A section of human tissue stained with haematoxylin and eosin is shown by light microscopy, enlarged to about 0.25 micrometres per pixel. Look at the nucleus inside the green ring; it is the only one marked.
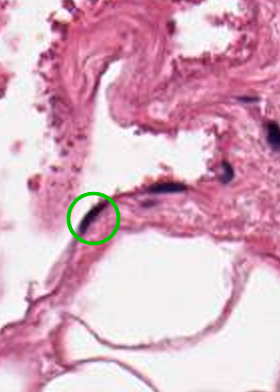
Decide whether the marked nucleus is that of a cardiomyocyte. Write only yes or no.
no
